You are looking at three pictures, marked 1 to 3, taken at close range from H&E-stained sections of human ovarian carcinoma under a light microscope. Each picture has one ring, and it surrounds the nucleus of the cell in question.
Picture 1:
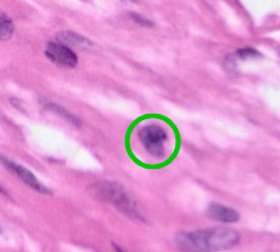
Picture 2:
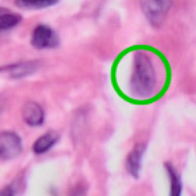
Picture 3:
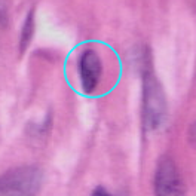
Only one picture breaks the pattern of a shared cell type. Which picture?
1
